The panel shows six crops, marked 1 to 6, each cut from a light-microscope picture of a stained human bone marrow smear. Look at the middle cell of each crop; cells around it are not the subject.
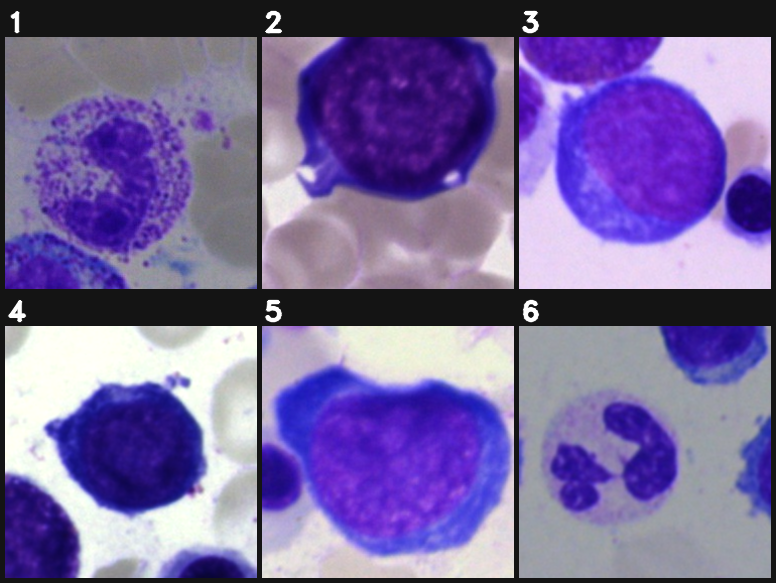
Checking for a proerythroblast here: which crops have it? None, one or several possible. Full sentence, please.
Form entry, crops 2, 3, 4 and 5: central cells are proerythroblasts.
